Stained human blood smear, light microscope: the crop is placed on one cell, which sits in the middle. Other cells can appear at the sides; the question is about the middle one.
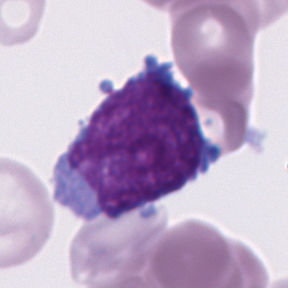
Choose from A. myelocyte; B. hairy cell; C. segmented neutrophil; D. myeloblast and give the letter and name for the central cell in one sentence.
With the cell in the middle being a myeloblast, option D is the correct choice.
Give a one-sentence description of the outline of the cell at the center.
A ragged or projecting edge replaces the smooth outline in this cell.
